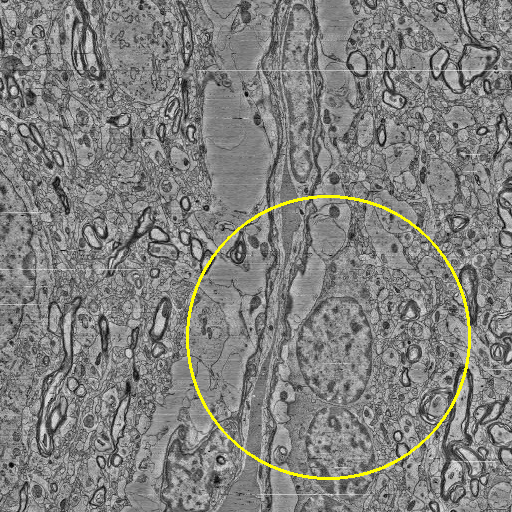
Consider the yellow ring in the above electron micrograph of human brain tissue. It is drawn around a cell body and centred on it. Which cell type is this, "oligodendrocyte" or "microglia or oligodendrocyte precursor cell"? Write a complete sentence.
The cell in question is an oligodendrocyte.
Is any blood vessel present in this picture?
Yes, a blood vessel is present in this picture.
